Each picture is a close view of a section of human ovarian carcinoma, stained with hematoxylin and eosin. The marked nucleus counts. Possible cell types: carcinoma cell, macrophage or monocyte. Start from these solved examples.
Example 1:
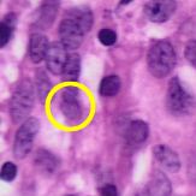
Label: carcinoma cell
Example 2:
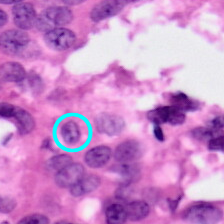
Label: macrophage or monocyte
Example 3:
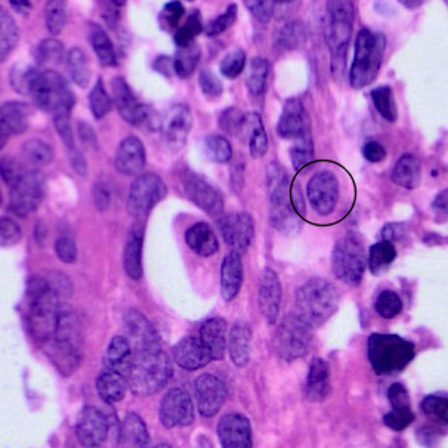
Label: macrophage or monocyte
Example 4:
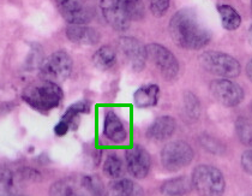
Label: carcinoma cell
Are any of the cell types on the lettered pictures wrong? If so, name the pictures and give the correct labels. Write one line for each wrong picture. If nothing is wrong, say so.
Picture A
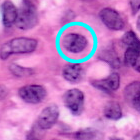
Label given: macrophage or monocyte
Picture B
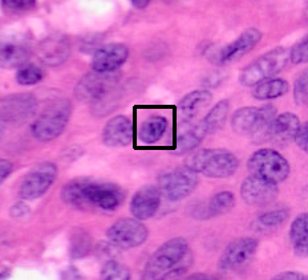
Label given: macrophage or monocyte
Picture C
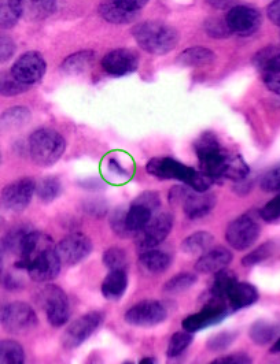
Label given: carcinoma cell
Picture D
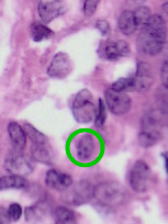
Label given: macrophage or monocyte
C: not carcinoma cell but macrophage or monocyte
